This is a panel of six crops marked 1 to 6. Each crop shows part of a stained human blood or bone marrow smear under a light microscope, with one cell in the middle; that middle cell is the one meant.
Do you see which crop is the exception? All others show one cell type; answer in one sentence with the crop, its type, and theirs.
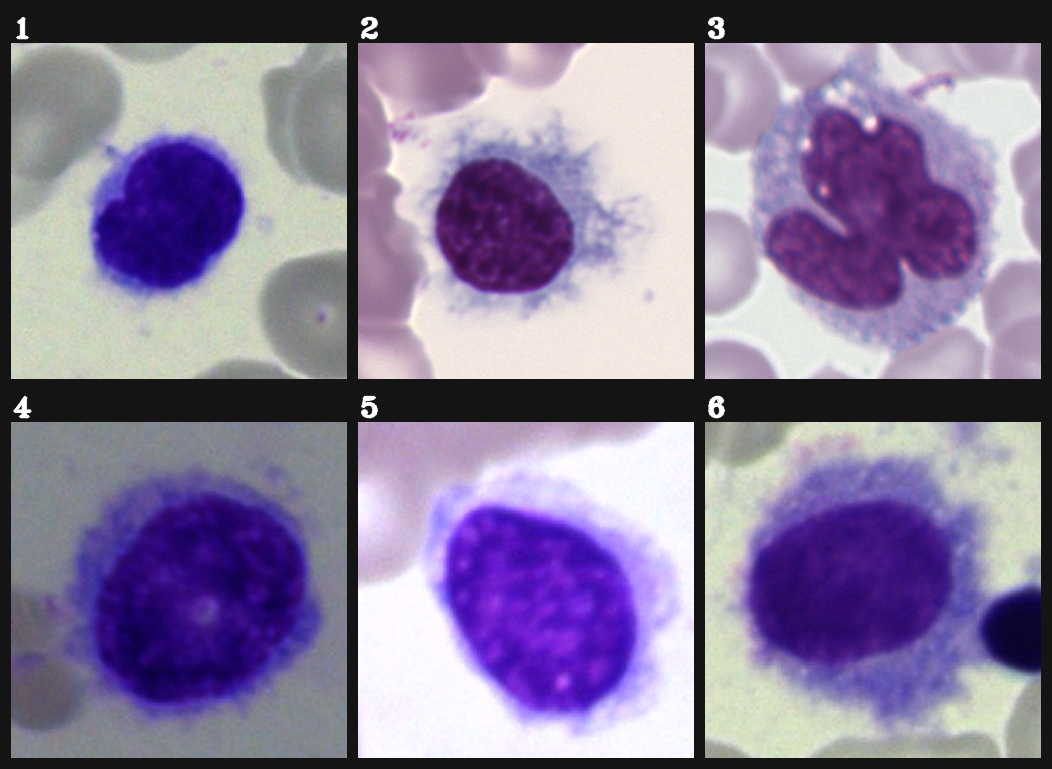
Although the other crops all show hairy cells, crop 3 shows a monocyte.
